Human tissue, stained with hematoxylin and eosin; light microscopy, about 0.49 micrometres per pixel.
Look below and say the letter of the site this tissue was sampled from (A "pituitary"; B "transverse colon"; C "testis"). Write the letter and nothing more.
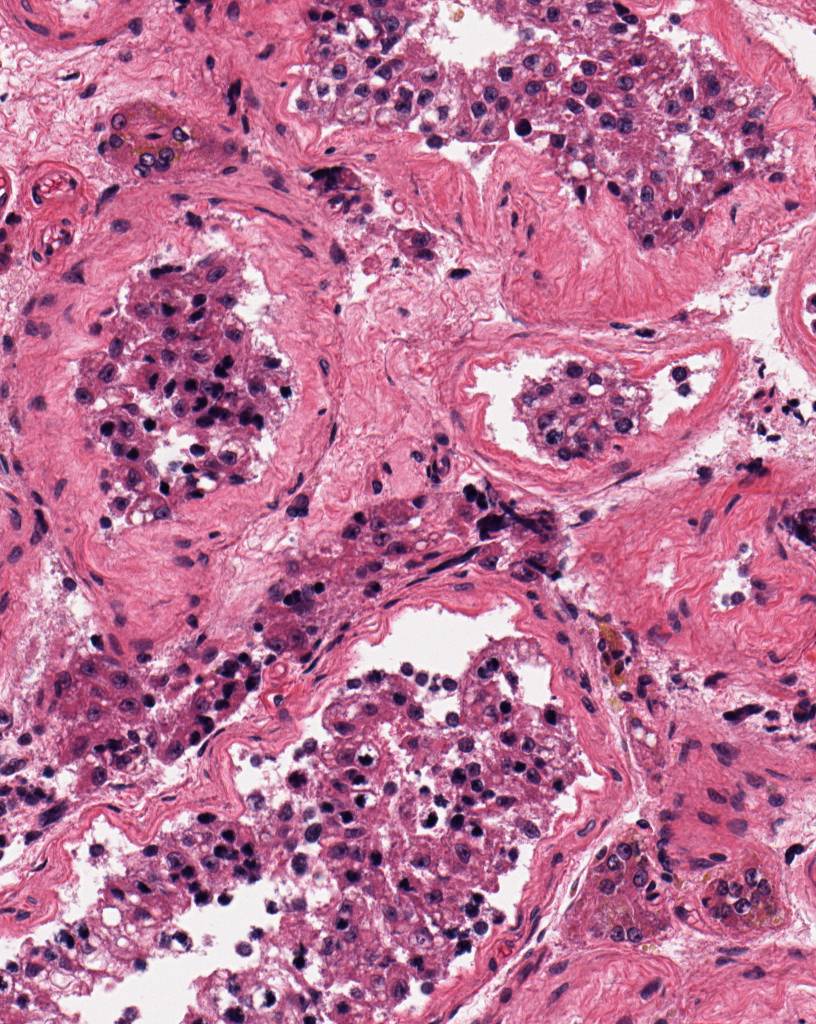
C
